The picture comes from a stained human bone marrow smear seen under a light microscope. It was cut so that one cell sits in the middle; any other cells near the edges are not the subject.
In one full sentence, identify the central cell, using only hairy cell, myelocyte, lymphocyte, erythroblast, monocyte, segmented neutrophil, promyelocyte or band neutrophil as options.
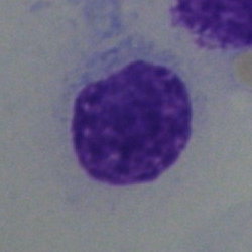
The crop centres on a single cell, and that cell is a hairy cell.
